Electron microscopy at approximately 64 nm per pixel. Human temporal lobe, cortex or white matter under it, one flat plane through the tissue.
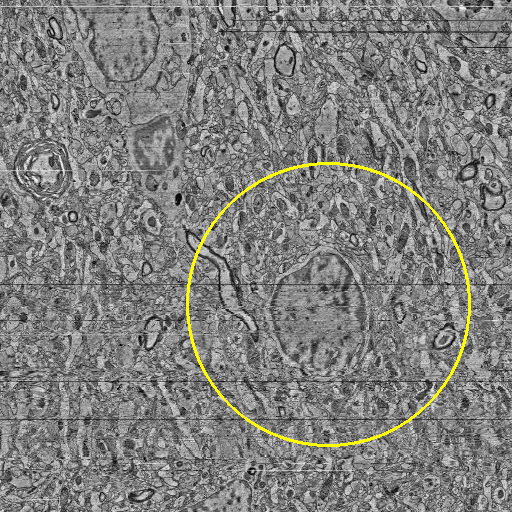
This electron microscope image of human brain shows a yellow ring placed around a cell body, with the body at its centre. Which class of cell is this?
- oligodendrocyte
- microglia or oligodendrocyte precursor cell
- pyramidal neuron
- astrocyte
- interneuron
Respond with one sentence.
The cell body at the ring's centre is a microglial cell or oligodendrocyte precursor cell.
